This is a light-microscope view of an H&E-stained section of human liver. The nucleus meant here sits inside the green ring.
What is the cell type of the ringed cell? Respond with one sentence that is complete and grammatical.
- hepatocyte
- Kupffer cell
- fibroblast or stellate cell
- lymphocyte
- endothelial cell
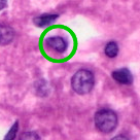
At the level of cell identity, the ringed cell is a Kupffer cell.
